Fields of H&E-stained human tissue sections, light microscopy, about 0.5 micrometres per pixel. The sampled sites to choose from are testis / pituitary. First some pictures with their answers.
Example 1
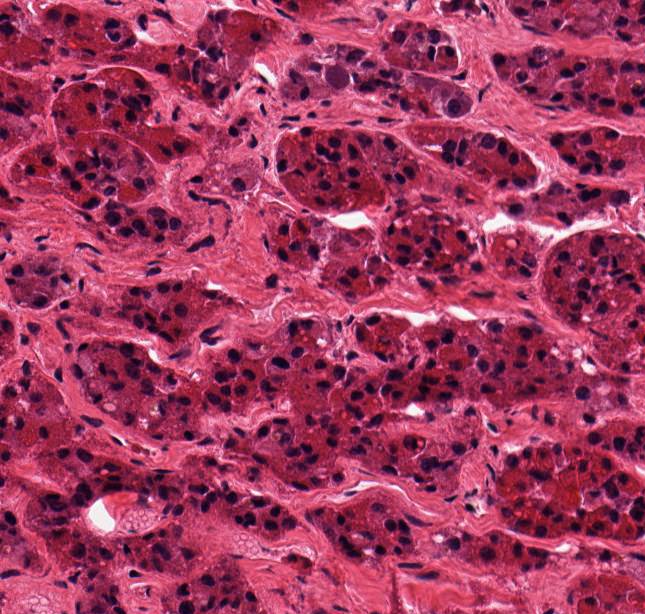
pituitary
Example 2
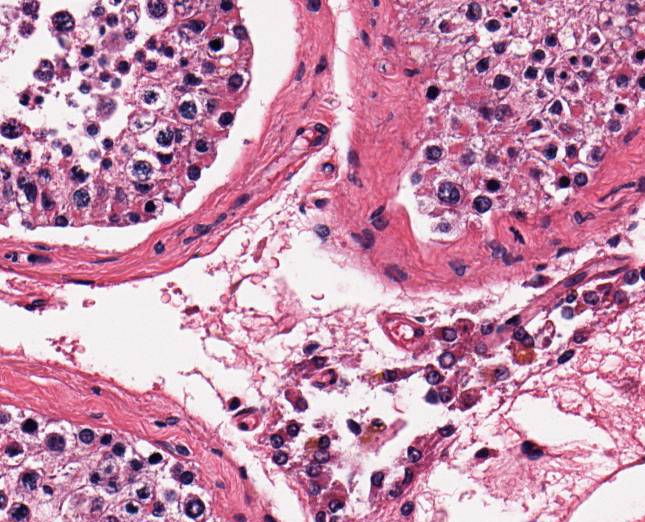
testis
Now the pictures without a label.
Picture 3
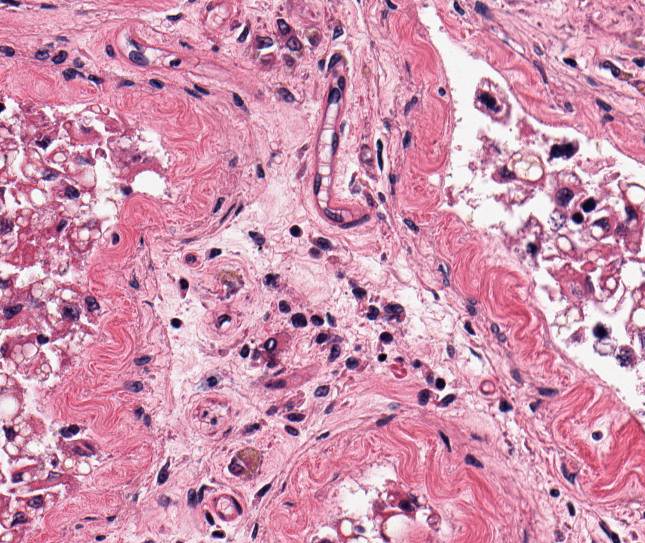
testis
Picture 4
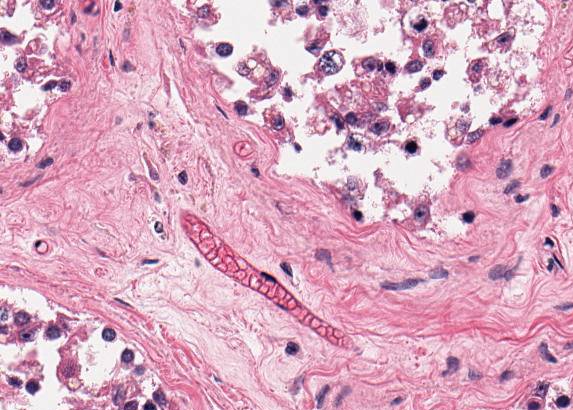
testis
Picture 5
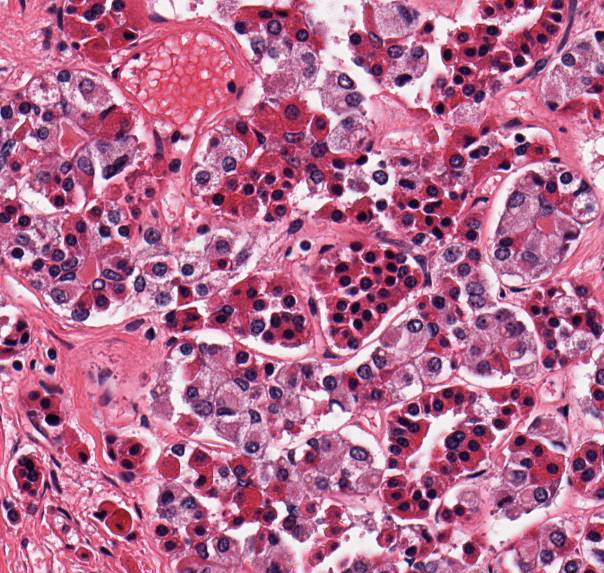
pituitary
